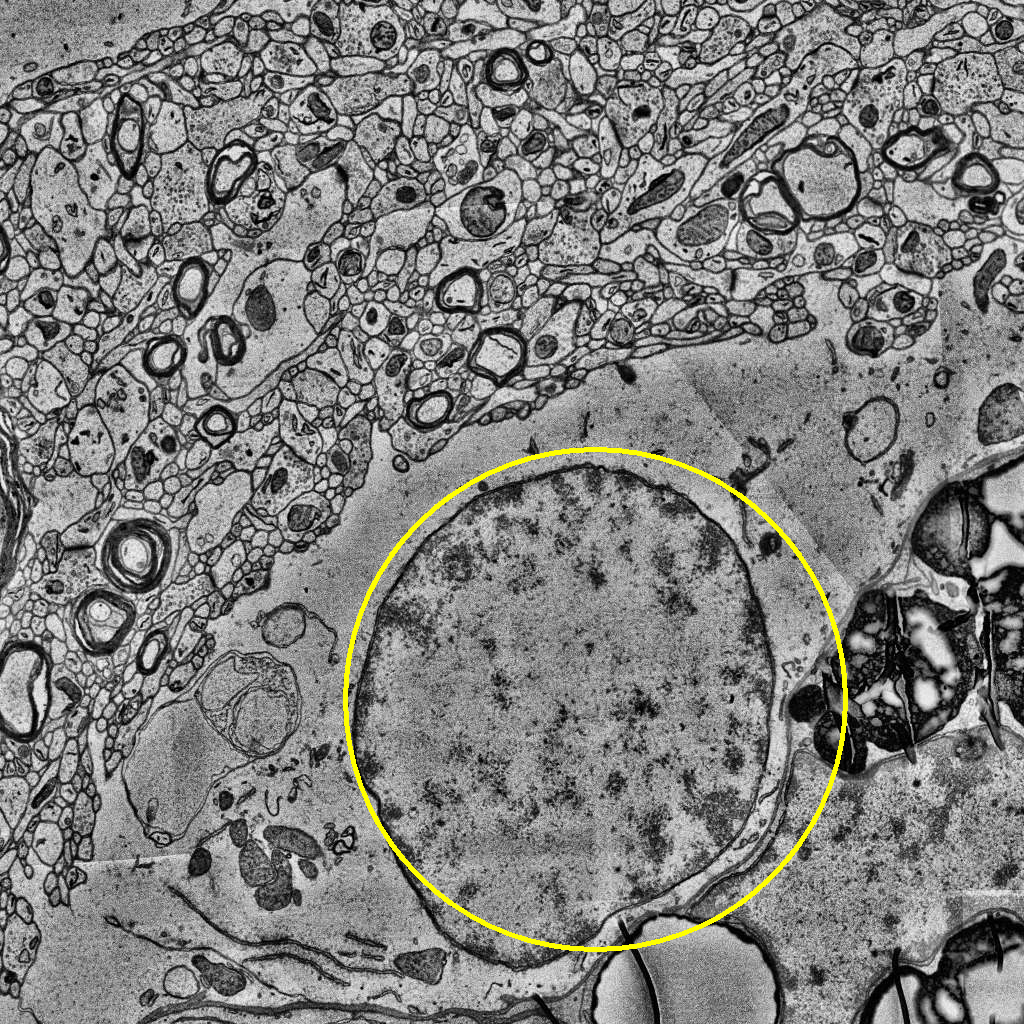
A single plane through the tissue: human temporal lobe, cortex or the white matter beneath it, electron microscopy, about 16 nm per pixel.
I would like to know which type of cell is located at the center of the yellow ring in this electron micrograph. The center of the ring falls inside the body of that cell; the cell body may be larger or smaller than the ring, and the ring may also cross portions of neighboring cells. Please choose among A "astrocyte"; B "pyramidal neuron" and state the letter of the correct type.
A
